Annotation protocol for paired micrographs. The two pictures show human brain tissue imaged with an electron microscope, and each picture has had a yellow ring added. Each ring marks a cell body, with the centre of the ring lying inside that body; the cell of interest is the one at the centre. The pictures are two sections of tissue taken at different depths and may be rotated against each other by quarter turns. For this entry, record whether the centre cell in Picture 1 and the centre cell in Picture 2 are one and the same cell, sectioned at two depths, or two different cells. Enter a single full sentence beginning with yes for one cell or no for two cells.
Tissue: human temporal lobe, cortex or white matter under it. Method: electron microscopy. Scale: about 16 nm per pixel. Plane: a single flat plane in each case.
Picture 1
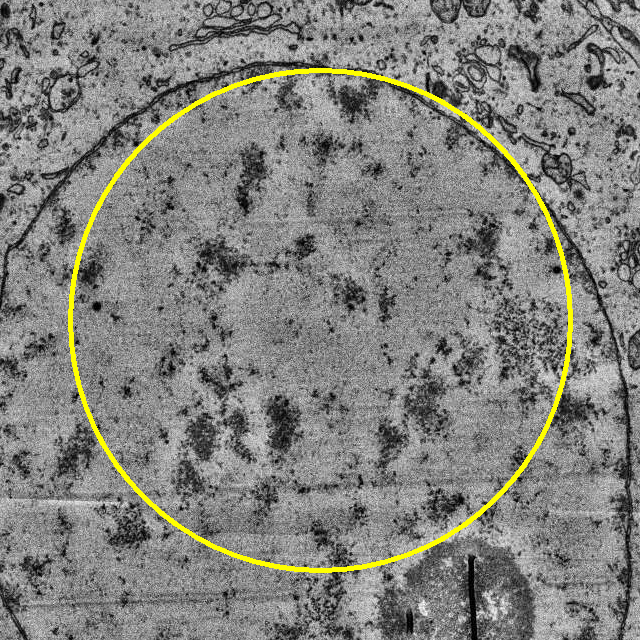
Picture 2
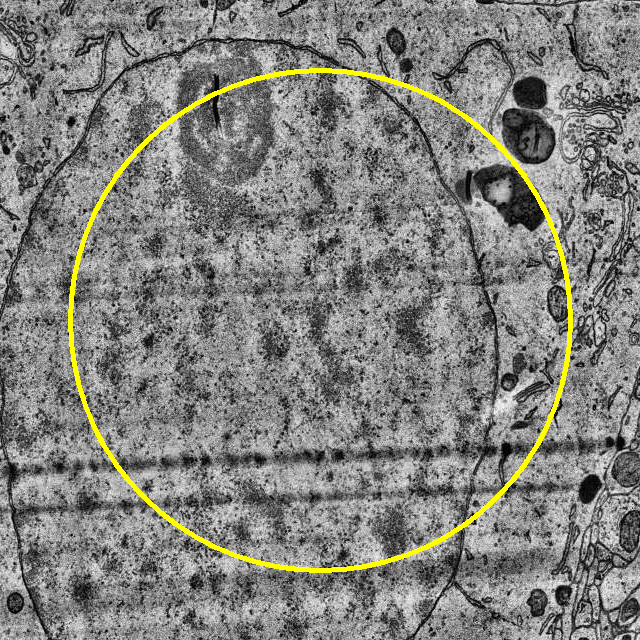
No, each ring in the micrograph marks a distinct cell.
